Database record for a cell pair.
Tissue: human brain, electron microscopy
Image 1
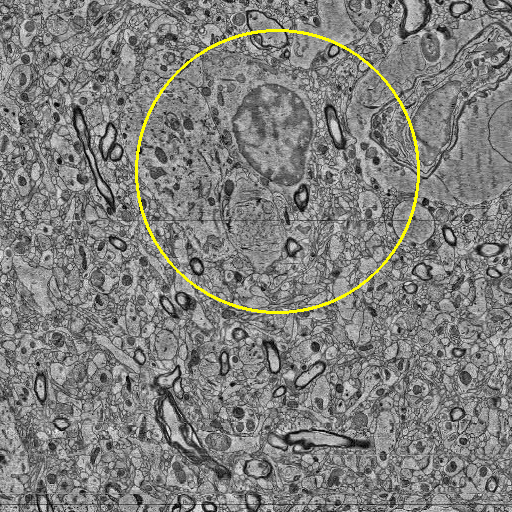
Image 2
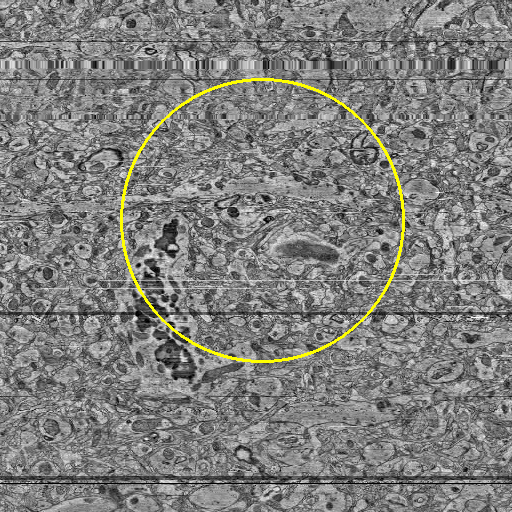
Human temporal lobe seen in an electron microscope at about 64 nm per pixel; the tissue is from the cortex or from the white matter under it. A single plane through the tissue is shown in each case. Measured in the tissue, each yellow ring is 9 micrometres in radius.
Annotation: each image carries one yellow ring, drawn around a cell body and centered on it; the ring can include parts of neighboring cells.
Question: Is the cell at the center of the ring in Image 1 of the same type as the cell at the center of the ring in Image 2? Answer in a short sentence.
No, the cells are of two types.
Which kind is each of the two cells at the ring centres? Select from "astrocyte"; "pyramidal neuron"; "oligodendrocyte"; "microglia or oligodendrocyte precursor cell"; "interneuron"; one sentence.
The cell at the centre of the ring is an oligodendrocyte in the first picture and a microglial cell or oligodendrocyte precursor cell in the second.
